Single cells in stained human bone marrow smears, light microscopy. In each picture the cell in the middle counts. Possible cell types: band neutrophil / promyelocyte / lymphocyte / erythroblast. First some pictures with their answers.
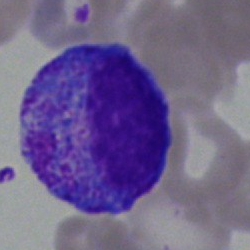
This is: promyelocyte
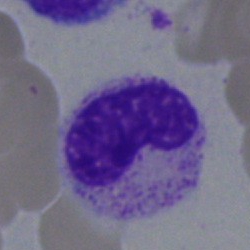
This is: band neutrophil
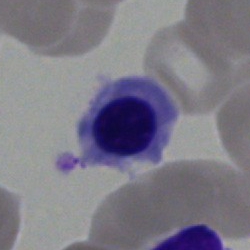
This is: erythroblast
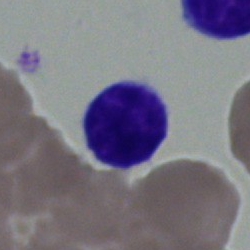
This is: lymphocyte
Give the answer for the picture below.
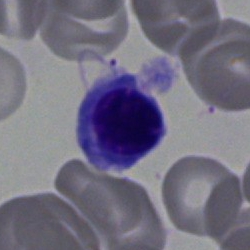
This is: erythroblast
